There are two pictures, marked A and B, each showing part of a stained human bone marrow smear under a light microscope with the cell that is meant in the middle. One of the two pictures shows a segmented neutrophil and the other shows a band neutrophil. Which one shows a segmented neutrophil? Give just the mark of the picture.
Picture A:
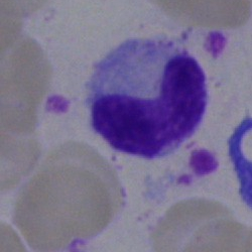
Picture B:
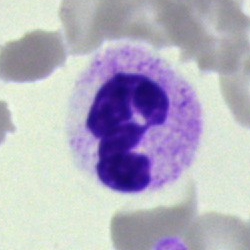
B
